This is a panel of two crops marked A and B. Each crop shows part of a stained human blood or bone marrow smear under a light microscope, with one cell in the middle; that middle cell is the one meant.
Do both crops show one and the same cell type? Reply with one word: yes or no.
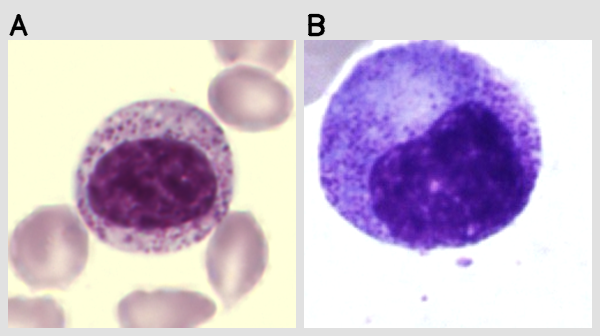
yes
